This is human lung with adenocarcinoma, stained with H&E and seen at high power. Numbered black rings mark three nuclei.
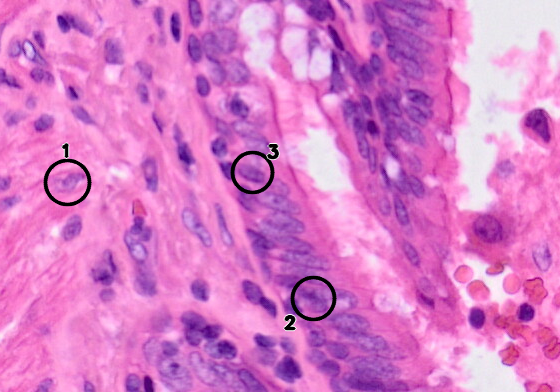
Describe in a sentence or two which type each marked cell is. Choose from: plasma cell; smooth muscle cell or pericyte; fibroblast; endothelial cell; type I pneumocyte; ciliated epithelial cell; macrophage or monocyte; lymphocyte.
Cell 1 is a smooth muscle cell or pericyte, cell 2 is a ciliated epithelial cell and cell 3 is a ciliated epithelial cell.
